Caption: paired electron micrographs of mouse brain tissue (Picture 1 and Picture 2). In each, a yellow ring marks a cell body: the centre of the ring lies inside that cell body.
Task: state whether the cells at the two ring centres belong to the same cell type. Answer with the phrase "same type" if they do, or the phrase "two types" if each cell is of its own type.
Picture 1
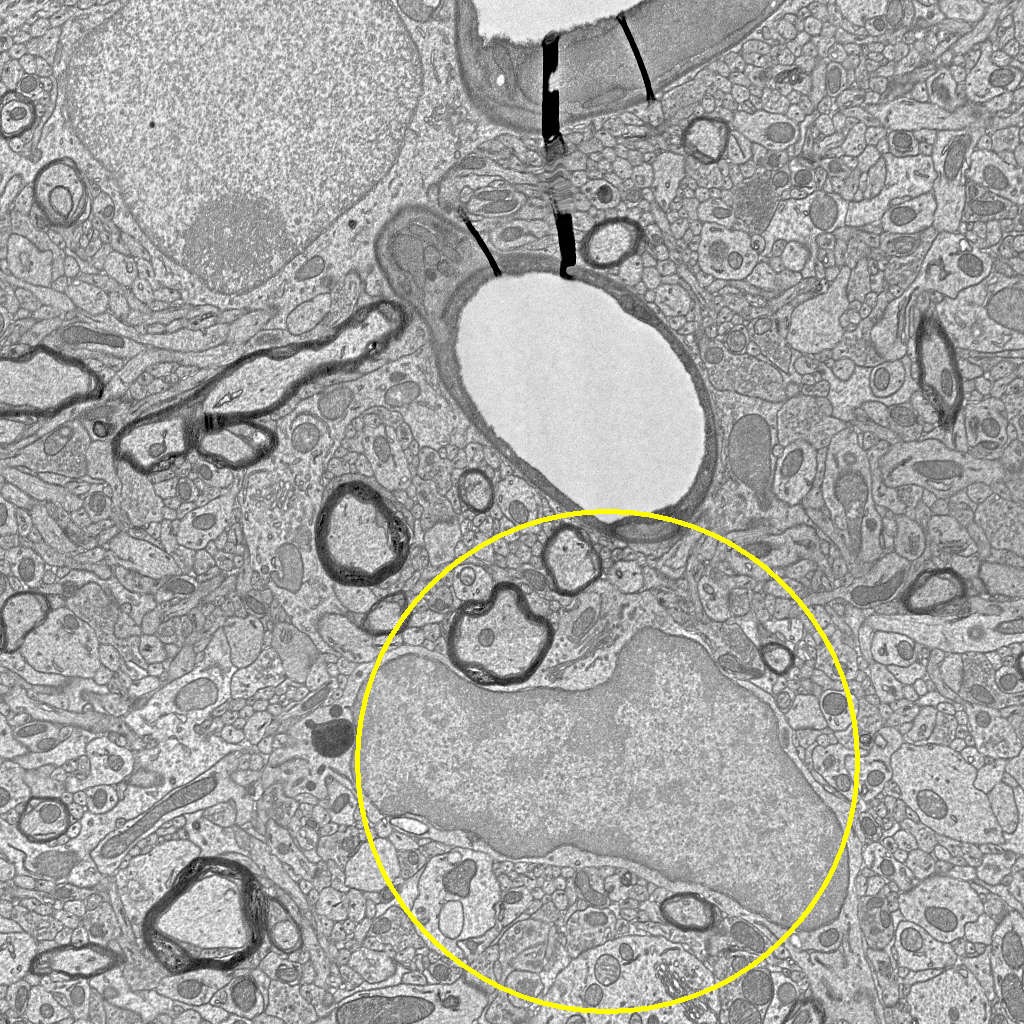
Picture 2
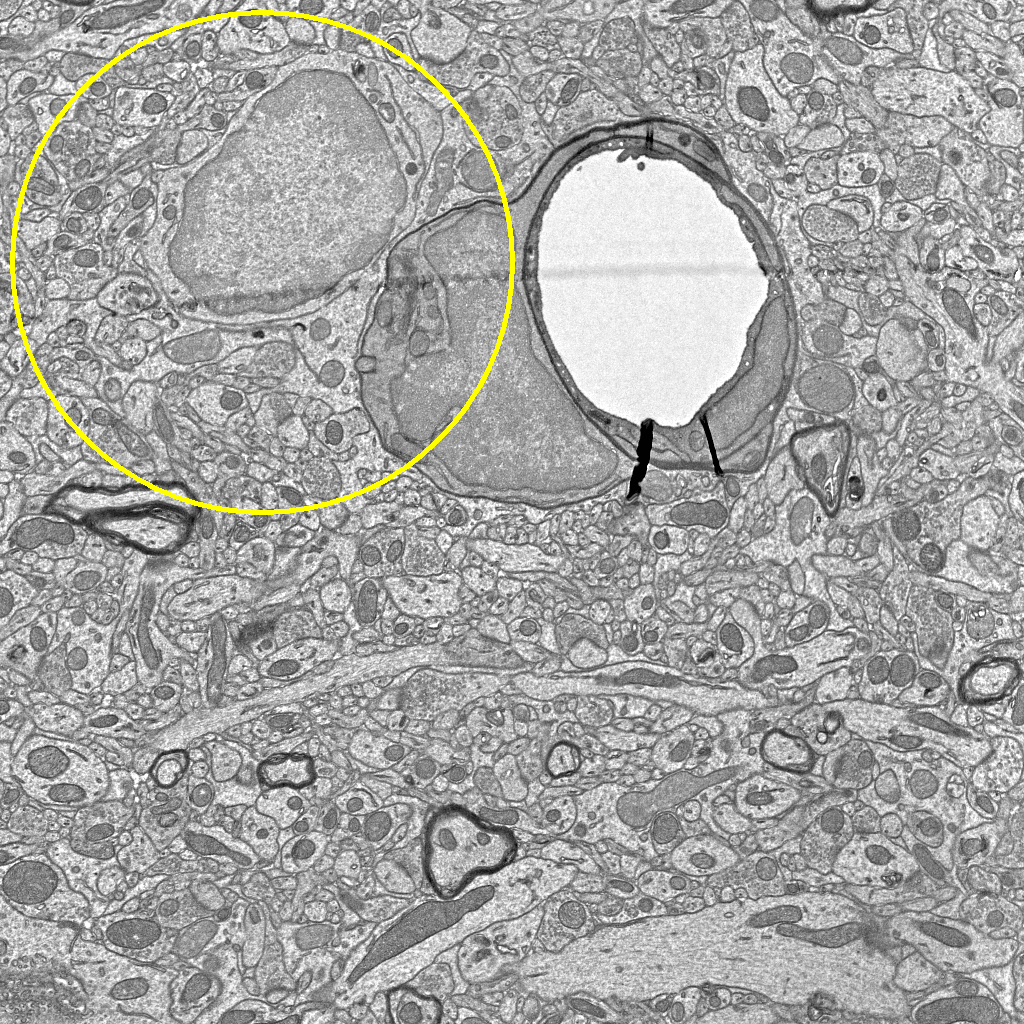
same type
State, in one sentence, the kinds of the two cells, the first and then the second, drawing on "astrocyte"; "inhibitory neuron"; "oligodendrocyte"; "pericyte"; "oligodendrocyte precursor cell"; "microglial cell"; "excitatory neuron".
The second cell is a microglial cell, just as the first is.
